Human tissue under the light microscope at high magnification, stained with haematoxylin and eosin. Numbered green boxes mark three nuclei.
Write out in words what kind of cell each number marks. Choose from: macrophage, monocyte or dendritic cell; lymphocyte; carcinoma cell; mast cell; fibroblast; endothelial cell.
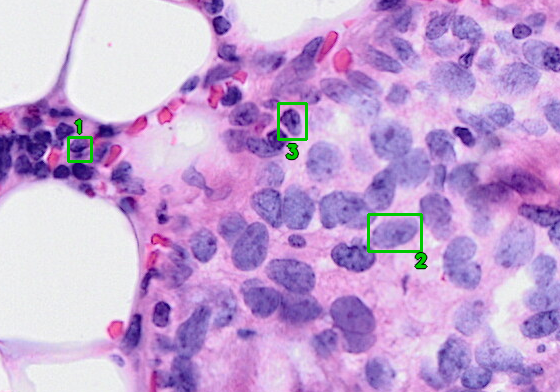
Cell 1 is a lymphocyte, cell 2 is a carcinoma cell and cell 3 is a lymphocyte.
